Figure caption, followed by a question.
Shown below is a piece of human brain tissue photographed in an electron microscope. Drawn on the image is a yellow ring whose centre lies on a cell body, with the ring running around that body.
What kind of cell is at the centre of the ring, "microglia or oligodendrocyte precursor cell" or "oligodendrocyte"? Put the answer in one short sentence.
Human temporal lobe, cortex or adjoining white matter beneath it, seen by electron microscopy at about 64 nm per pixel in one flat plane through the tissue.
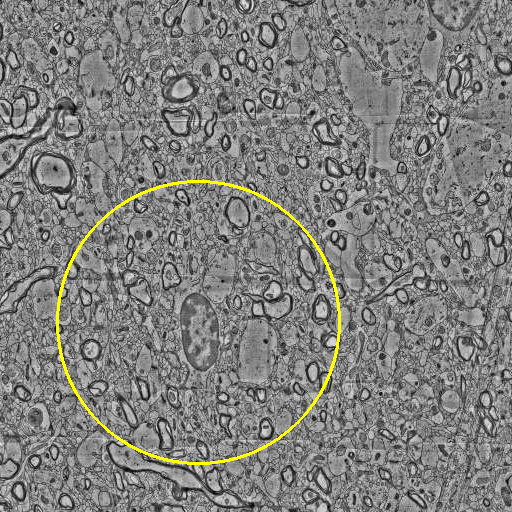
The ring marks the cell body of a microglial cell or oligodendrocyte precursor cell.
